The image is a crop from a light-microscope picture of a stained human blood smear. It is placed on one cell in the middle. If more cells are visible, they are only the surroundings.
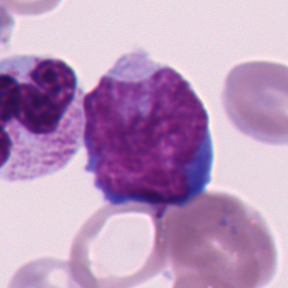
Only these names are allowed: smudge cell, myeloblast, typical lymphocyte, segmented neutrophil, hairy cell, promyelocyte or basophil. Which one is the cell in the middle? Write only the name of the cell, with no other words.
myeloblast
